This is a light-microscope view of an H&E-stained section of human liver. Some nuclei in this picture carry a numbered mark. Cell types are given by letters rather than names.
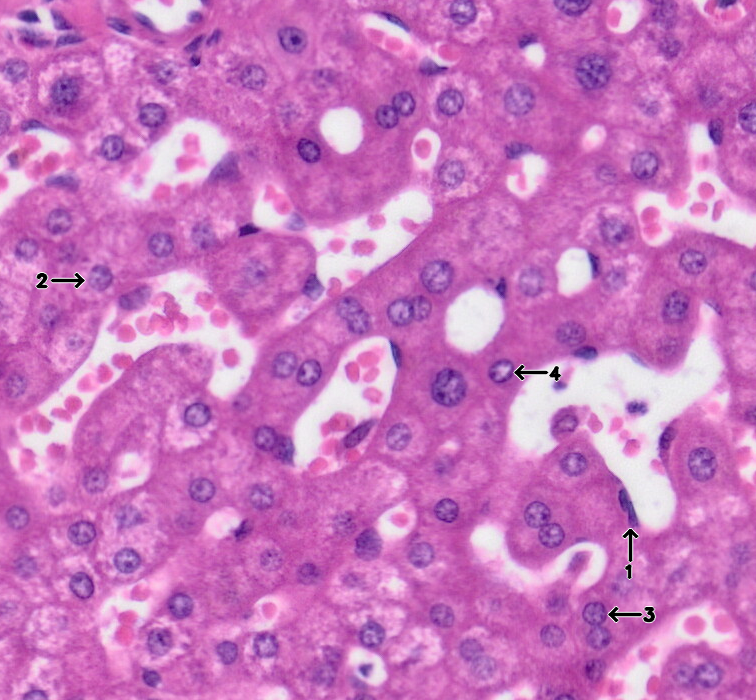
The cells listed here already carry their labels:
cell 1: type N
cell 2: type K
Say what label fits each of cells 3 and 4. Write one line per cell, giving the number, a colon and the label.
3: type K
4: type K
